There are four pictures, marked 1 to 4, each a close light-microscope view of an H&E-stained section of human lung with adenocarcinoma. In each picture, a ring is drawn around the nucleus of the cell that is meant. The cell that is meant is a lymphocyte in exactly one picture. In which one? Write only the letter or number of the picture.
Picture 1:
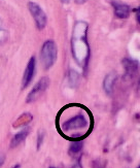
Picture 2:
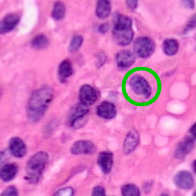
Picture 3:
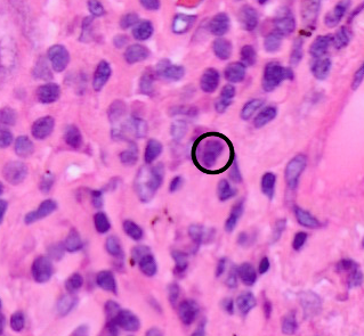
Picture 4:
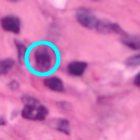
2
